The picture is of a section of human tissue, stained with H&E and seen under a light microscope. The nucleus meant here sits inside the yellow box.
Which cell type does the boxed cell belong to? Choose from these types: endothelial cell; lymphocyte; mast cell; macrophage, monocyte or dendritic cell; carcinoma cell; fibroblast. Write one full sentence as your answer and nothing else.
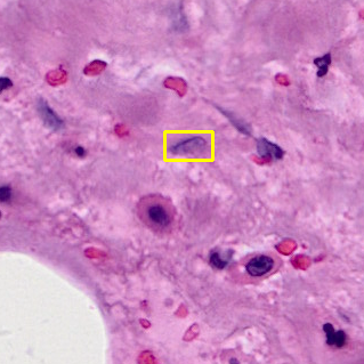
Histopathologically, the boxed cell is a fibroblast.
